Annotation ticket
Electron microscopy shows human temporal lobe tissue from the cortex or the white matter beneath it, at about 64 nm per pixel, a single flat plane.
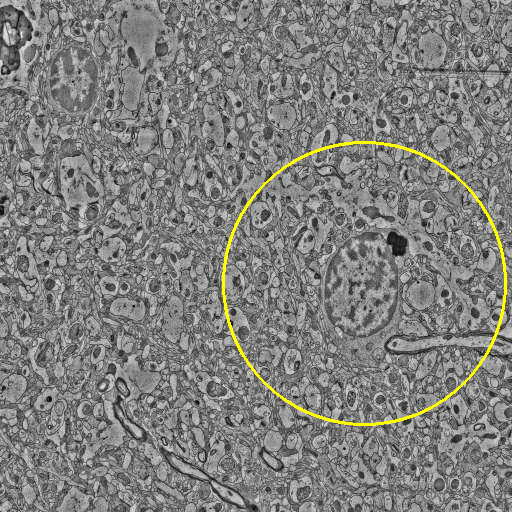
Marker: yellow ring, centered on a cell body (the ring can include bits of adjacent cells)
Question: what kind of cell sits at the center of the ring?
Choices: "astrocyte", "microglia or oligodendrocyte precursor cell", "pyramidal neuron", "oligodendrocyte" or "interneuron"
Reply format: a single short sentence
The ring is centered on an oligodendrocyte.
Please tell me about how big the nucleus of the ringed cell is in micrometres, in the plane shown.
The nucleus comes to roughly 7 by 5 micrometres in this plane.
